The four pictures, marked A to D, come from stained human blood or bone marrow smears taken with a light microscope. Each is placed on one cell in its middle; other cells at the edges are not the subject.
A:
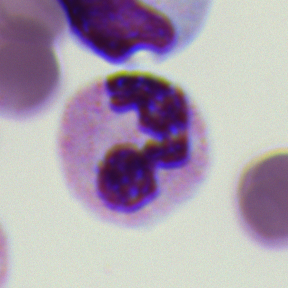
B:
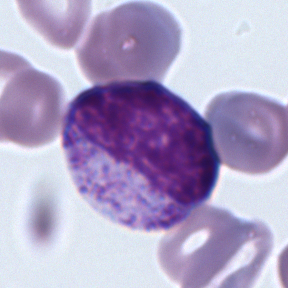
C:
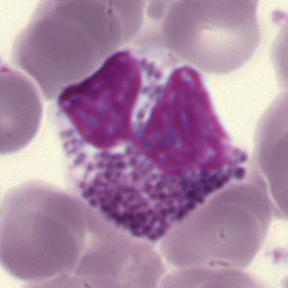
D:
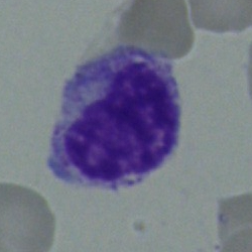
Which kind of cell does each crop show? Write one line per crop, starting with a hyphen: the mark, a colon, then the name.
- A: segmented neutrophil
- B: myelocyte
- C: eosinophil
- D: myelocyte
